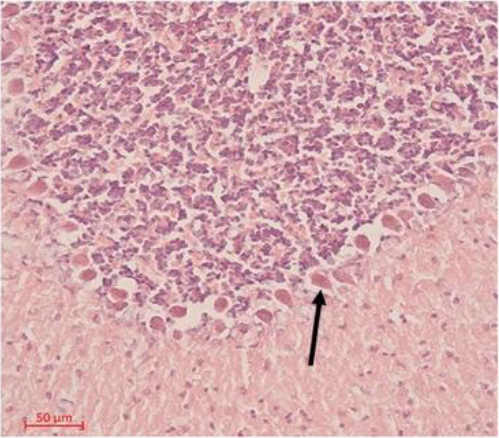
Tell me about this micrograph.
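This is cerebellar cortex showing the granular layer bordered by a row of Purkinje cells. Most of the upper field is filled with tightly packed small, round, dark purple nuclei with little visible cytoplasm. Along the curved lower border of this mass runs a row of larger rounded cell bodies with pink cytoplasm, several lying within small clear halos. Below and around them spreads a pale pink layer with a faintly fibrillar texture and sparse scattered nuclei, the molecular layer. The large pink cells sit exactly at the interface between the dense dark layer and the pale layer.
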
